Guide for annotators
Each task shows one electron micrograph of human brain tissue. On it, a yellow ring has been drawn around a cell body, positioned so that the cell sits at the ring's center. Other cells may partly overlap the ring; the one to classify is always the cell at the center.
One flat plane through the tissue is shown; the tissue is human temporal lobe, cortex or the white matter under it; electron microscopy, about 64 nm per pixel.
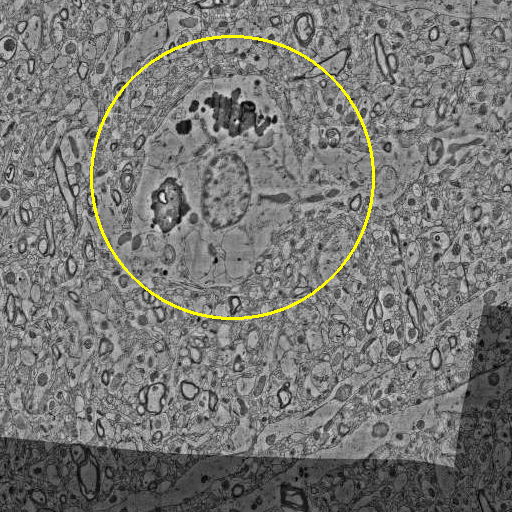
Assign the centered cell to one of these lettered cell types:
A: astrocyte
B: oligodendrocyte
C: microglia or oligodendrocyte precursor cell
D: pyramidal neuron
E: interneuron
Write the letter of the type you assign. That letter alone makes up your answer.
A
